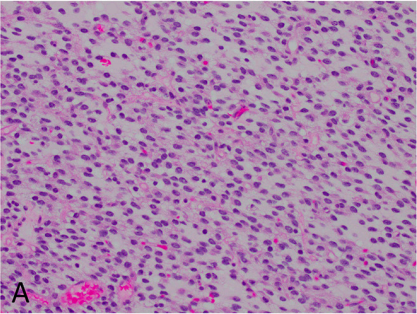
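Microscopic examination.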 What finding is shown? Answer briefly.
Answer: diffuse sheets of a tumor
